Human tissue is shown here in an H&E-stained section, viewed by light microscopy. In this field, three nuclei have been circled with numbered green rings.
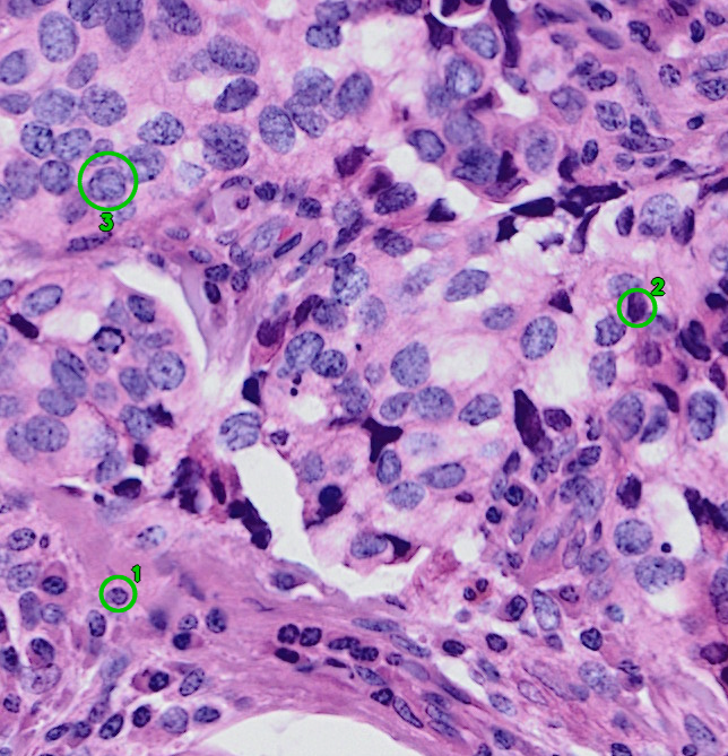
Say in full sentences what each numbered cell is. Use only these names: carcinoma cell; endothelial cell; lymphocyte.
Cell 1 is a lymphocyte. Cells 2 and 3 are carcinoma cells.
